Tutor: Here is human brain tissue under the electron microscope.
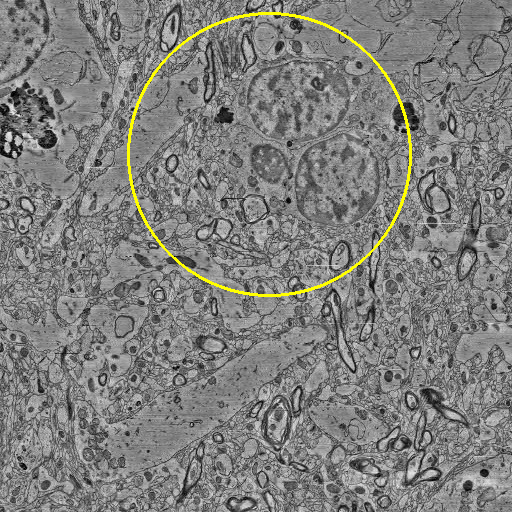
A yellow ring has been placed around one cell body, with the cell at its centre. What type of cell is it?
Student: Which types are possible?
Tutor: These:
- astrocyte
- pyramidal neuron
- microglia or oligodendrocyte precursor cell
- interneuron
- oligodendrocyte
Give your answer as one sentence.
What the ring picks out here is an oligodendrocyte.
